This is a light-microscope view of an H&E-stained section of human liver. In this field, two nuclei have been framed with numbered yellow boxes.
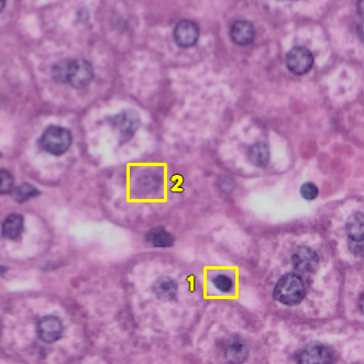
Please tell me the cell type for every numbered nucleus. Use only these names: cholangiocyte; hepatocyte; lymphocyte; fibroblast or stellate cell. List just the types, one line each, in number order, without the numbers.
lymphocyte
hepatocyte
